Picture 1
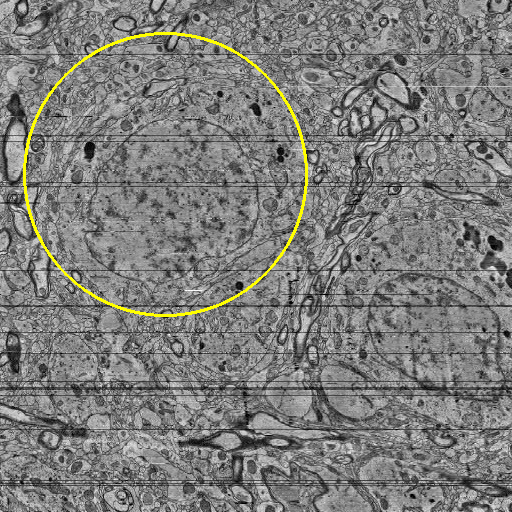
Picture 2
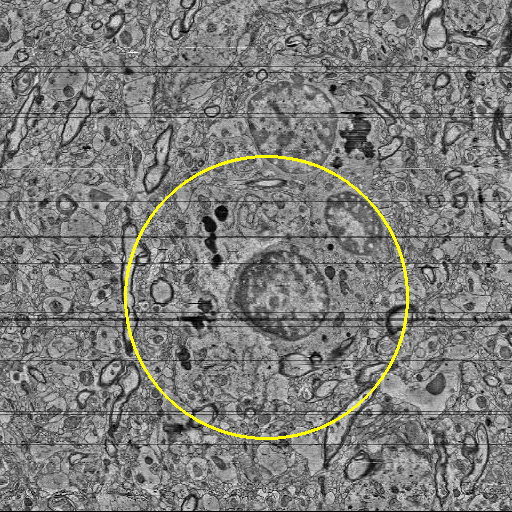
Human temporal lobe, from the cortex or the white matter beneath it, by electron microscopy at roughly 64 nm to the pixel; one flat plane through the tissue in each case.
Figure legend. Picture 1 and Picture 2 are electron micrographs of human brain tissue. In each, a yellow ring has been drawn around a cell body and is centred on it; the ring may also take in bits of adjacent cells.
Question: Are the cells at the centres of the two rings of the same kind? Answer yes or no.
no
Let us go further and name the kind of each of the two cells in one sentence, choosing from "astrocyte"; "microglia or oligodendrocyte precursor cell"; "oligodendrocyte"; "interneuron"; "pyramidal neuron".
The ring of the first picture is on a pyramidal neuron, the ring of the second on an oligodendrocyte.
